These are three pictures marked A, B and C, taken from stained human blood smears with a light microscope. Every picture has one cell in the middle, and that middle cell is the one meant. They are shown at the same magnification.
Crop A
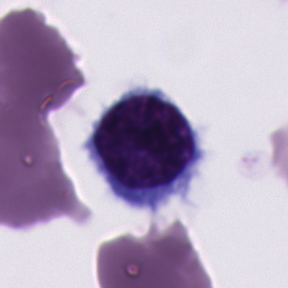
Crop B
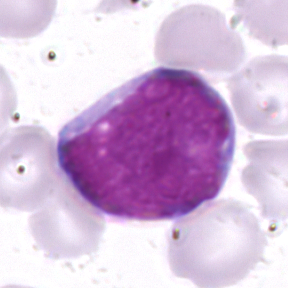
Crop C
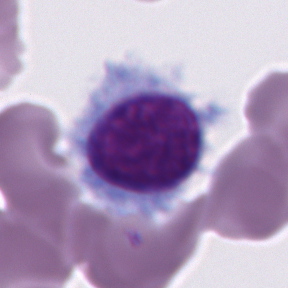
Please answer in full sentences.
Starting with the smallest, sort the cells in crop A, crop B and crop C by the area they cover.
From the smallest up, the order is A, C, B.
